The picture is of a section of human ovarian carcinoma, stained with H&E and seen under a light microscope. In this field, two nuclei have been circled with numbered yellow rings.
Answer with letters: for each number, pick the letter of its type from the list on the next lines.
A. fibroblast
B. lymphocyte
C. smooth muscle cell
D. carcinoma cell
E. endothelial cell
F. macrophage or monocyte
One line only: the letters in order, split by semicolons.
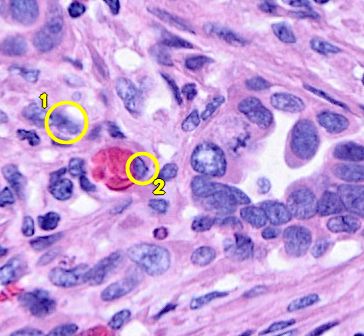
A; E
